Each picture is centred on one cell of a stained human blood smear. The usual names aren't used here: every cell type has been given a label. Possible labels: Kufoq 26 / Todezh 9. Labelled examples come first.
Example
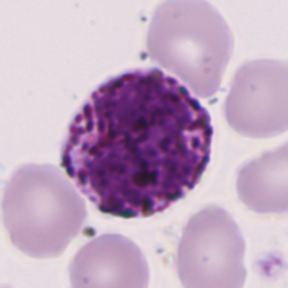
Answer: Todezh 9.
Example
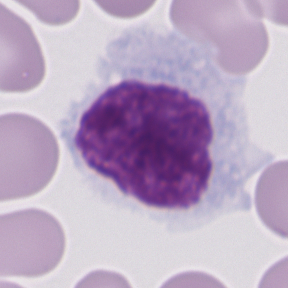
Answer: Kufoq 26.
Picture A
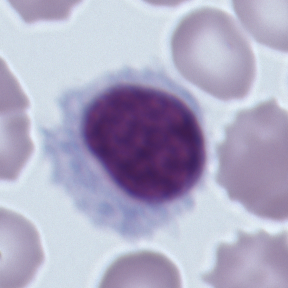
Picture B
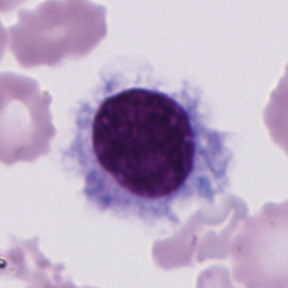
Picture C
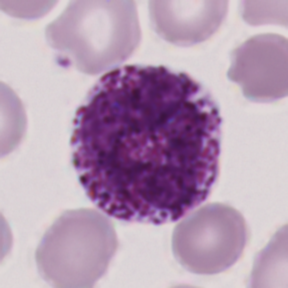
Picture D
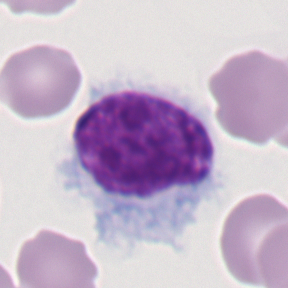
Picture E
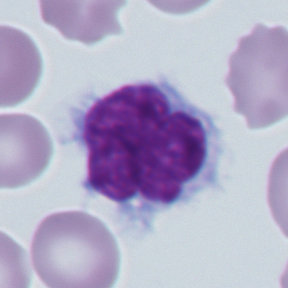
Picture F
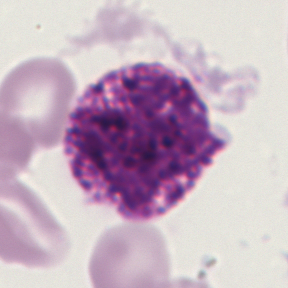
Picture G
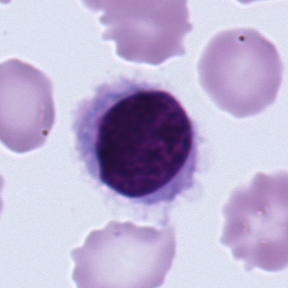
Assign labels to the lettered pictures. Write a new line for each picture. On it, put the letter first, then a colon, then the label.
A: Kufoq 26.
B: Kufoq 26.
C: Todezh 9.
D: Kufoq 26.
E: Kufoq 26.
F: Todezh 9.
G: Kufoq 26.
